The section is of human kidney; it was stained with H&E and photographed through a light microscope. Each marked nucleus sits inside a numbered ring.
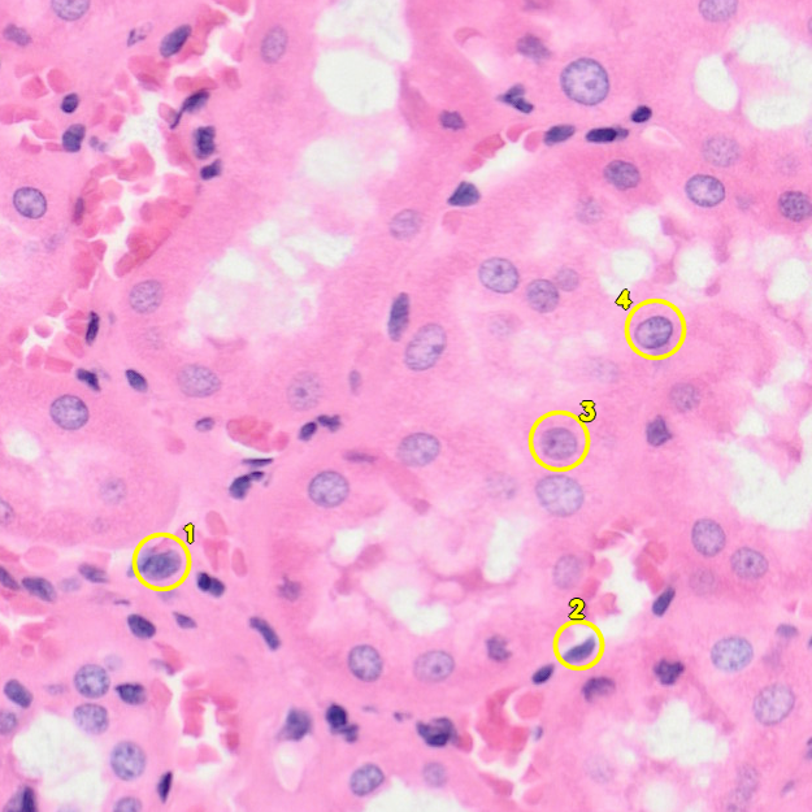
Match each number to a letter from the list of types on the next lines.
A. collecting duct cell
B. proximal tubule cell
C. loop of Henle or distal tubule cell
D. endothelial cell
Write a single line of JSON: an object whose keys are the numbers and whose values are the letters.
{"1": "D", "2": "D", "3": "B", "4": "B"}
